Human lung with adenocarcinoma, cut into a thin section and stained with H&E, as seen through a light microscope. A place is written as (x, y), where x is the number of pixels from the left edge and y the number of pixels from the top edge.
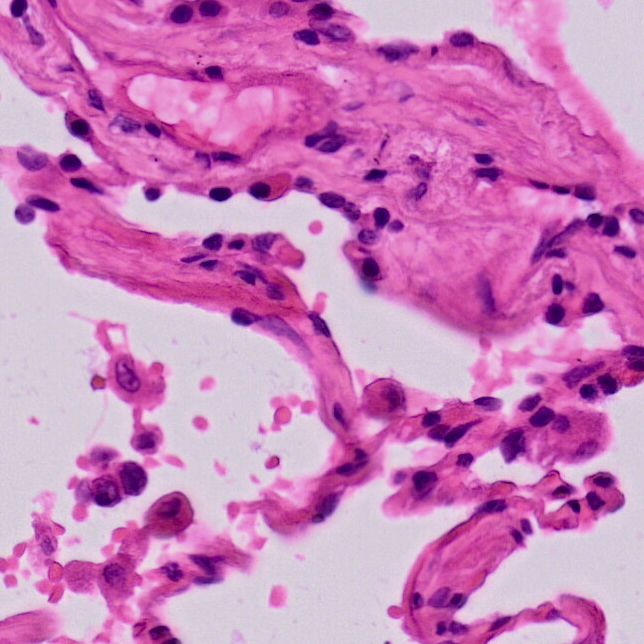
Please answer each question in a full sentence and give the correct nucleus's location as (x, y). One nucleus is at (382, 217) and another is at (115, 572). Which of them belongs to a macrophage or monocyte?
Between the two nuclei, the one sitting at (115, 572) belongs to a macrophage or monocyte.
